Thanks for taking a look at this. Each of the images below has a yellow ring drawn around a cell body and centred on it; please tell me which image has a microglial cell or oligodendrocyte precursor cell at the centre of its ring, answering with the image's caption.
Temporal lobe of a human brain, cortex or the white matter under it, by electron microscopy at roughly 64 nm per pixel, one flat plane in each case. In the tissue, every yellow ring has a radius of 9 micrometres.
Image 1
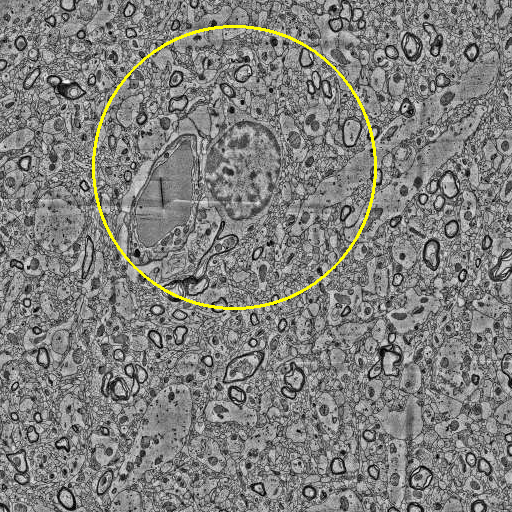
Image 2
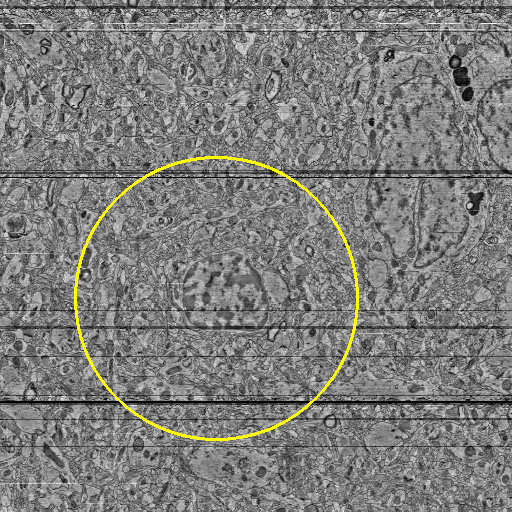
Image 2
